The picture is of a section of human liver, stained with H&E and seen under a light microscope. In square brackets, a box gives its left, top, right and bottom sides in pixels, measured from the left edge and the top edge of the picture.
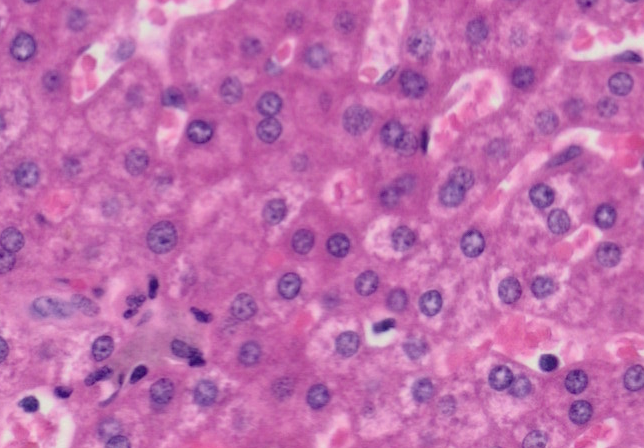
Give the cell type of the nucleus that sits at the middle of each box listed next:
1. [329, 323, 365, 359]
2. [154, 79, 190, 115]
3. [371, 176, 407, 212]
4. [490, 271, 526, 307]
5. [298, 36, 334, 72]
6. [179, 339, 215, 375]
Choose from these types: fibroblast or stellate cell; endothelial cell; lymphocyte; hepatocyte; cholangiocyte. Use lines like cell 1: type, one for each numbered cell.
cell 1: hepatocyte
cell 2: endothelial cell
cell 3: hepatocyte
cell 4: hepatocyte
cell 5: hepatocyte
cell 6: fibroblast or stellate cell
